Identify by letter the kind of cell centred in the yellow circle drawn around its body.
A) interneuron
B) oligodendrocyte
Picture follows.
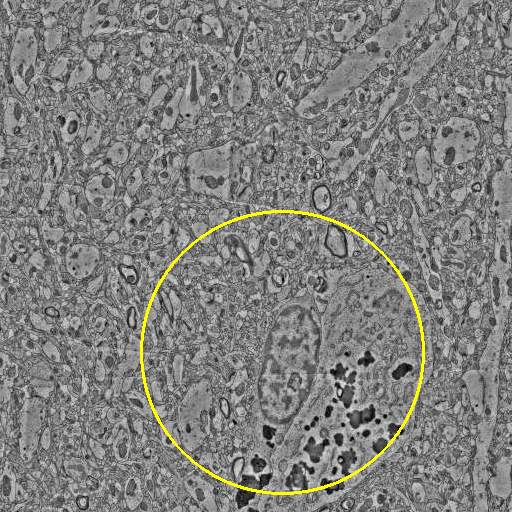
B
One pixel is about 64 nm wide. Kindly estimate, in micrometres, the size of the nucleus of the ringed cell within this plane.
Approximately 7 x 4 micrometres in this plane.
